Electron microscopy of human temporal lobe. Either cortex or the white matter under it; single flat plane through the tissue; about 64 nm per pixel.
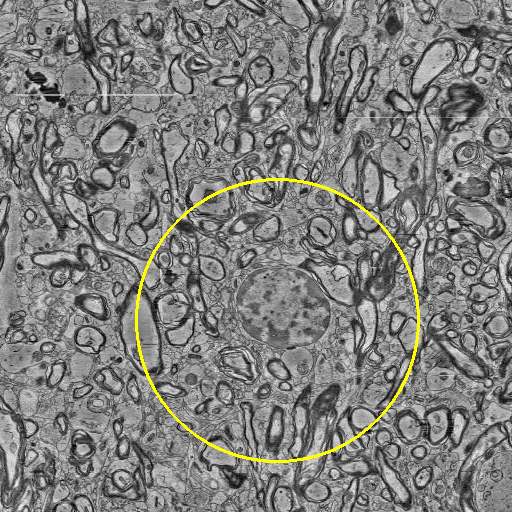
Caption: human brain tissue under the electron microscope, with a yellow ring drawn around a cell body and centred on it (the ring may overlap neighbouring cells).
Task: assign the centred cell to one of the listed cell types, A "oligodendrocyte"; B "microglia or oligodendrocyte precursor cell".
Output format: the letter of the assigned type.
B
